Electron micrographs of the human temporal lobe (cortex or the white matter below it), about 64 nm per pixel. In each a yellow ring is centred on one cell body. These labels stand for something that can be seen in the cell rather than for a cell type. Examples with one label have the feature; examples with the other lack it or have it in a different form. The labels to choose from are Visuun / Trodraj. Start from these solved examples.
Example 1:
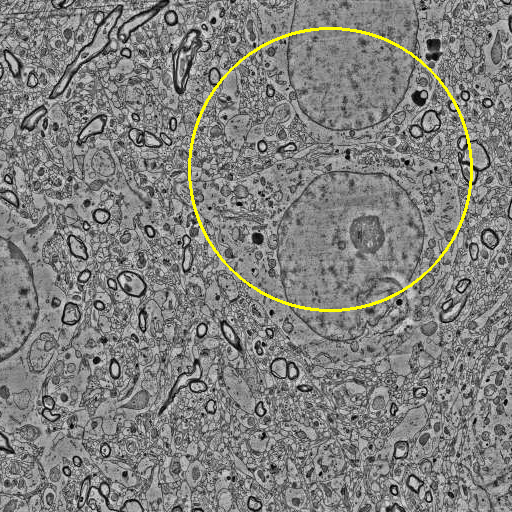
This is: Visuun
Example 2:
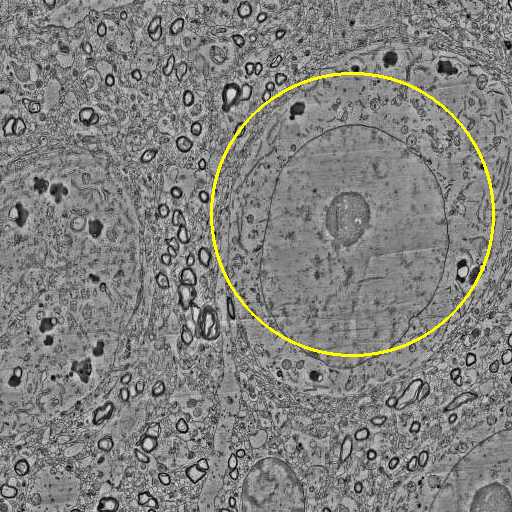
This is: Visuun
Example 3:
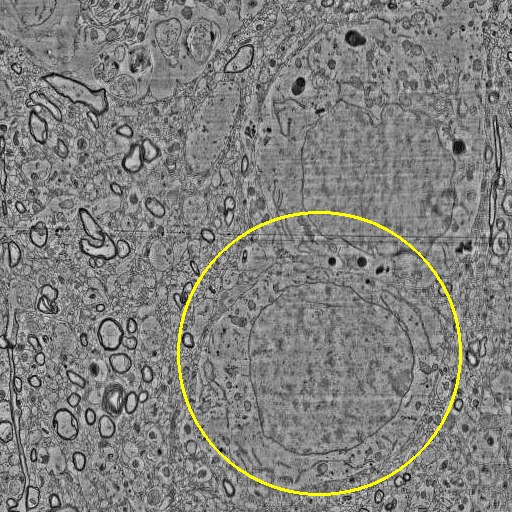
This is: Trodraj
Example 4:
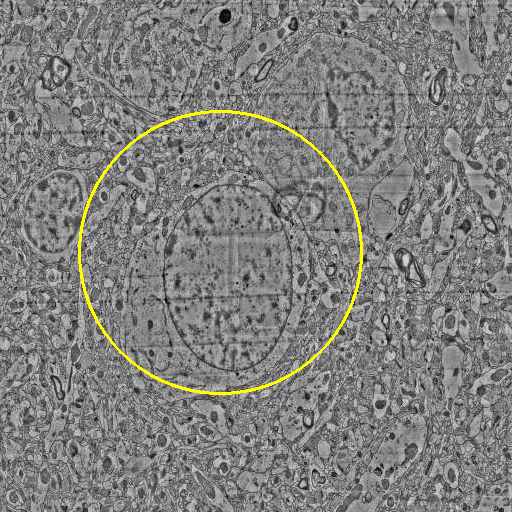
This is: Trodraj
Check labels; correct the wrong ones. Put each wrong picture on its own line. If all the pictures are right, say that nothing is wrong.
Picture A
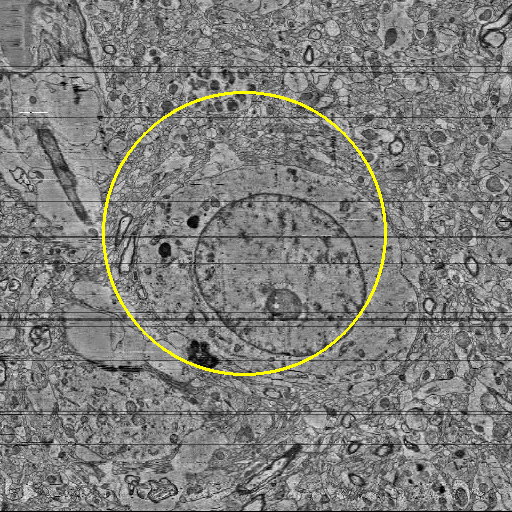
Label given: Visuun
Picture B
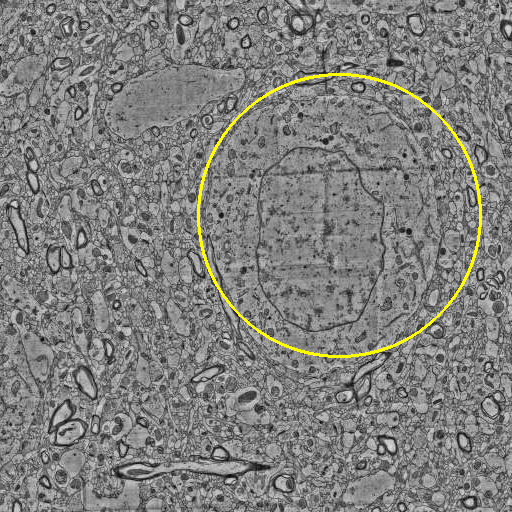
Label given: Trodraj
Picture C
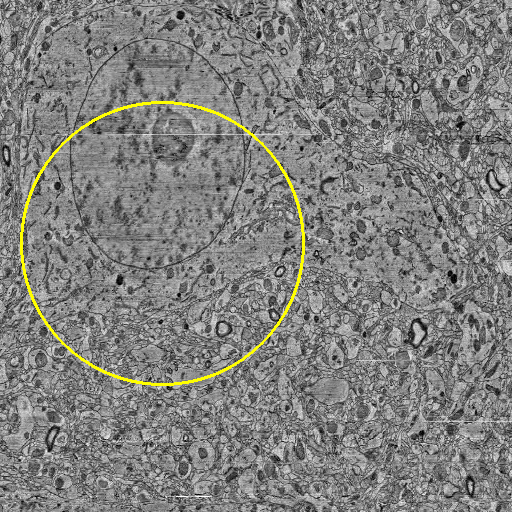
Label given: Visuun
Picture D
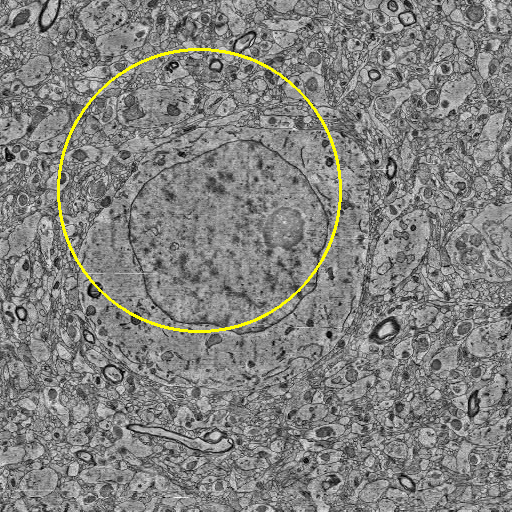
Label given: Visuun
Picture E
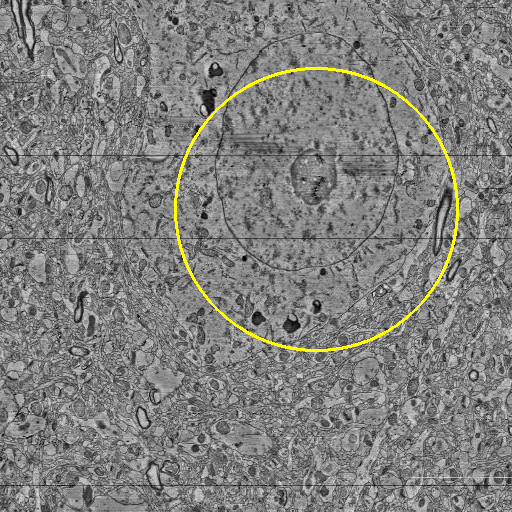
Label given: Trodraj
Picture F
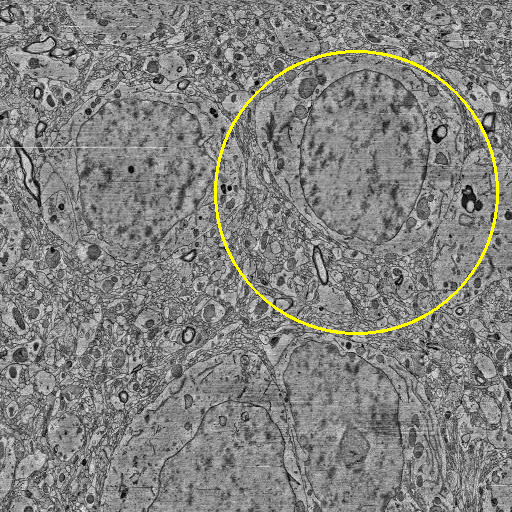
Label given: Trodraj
Wrong: E (Trodraj); correct: Visuun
